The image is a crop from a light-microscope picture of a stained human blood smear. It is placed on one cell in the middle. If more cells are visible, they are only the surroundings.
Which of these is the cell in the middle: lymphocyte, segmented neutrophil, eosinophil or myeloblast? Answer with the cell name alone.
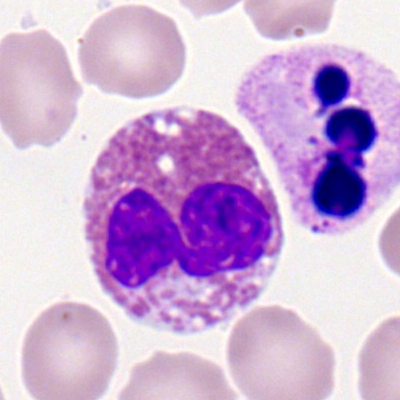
eosinophil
